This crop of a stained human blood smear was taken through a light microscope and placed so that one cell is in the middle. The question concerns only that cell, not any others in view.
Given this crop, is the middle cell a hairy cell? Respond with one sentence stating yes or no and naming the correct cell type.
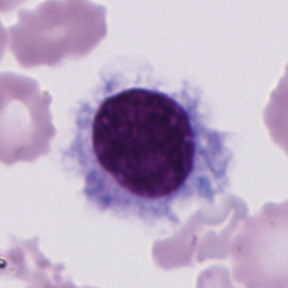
Yes, the cell lying in the middle is a hairy cell.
